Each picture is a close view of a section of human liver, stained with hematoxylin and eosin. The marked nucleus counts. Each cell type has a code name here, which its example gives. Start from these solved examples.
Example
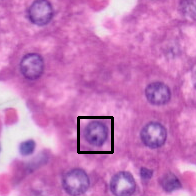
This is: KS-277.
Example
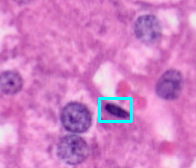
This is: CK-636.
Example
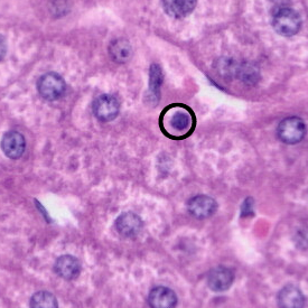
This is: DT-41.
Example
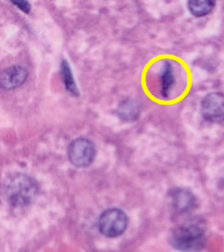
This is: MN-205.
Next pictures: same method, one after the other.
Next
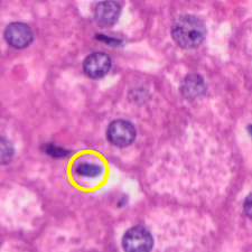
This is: DT-41.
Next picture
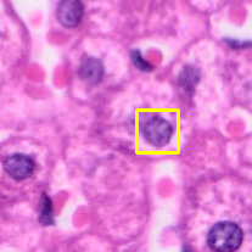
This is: KS-277.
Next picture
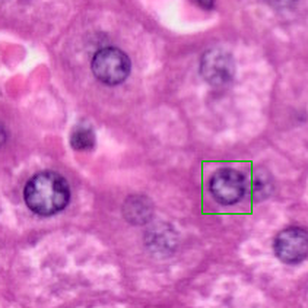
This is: KS-277.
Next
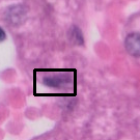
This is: CK-636.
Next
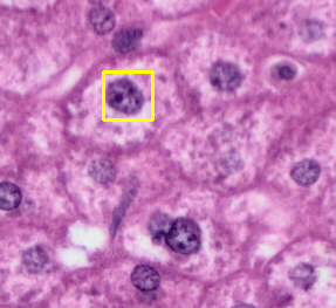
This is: KS-277.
